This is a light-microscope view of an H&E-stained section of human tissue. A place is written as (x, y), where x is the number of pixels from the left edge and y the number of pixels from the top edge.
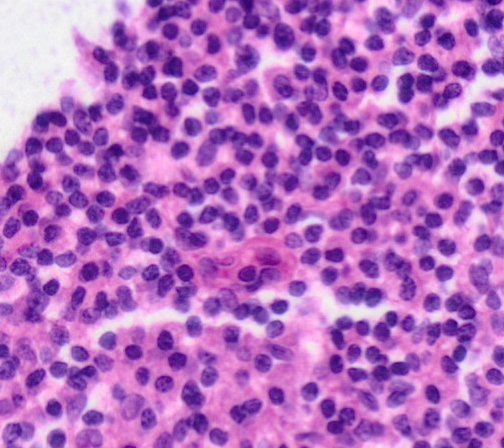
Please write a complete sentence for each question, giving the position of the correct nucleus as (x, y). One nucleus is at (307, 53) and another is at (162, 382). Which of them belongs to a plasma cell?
The nucleus whose cell is a plasma cell is the one at (162, 382).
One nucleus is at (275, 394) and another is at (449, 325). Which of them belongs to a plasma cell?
Here the nucleus at (275, 394) is the one that belongs to a plasma cell.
